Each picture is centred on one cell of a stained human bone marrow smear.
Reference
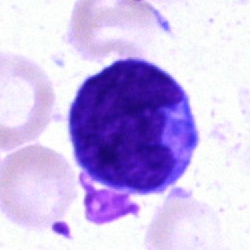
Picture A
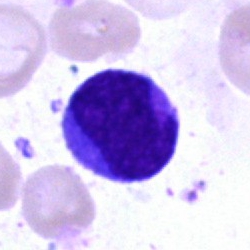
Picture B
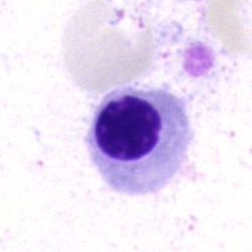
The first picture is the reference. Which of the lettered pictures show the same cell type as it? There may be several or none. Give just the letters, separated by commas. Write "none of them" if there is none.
A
